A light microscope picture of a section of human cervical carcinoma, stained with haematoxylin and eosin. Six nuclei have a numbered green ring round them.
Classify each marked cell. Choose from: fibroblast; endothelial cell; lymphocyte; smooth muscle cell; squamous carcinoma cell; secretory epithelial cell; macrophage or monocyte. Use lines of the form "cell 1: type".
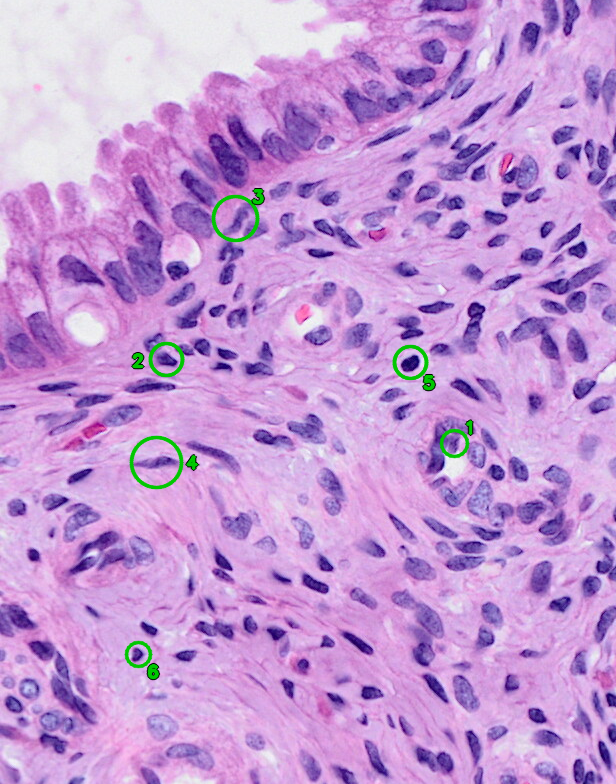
cell 1: endothelial cell
cell 2: fibroblast
cell 3: fibroblast
cell 4: fibroblast
cell 5: lymphocyte
cell 6: fibroblast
